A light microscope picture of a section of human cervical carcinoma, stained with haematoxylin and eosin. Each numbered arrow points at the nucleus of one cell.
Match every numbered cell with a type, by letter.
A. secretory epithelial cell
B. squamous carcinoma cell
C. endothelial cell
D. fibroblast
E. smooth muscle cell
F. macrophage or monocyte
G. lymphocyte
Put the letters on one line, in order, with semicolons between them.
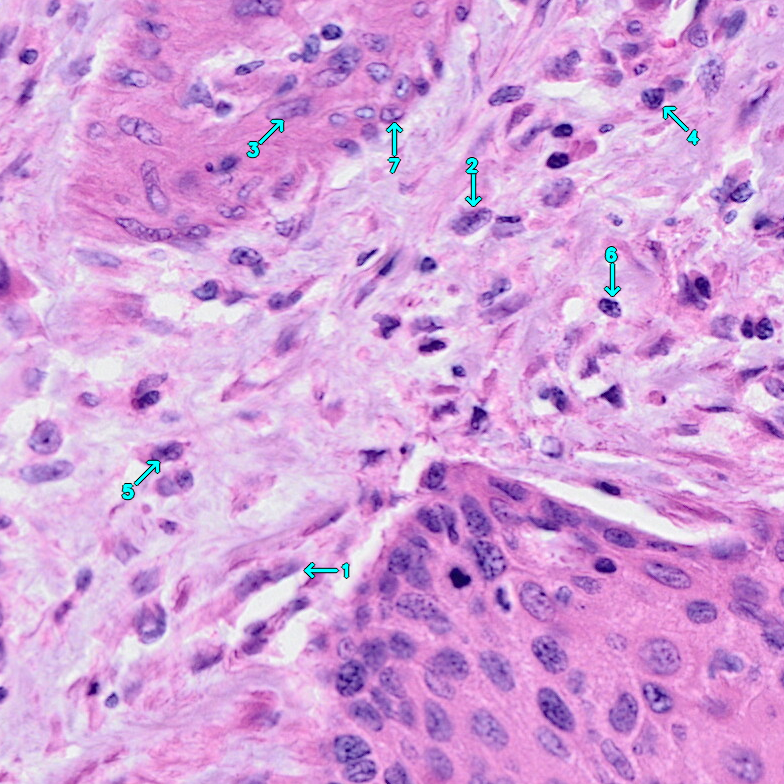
D; F; E; G; F; G; E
